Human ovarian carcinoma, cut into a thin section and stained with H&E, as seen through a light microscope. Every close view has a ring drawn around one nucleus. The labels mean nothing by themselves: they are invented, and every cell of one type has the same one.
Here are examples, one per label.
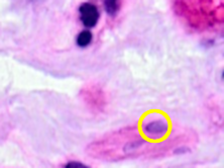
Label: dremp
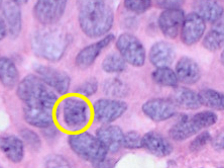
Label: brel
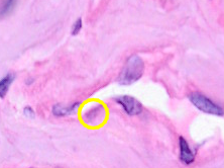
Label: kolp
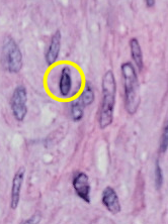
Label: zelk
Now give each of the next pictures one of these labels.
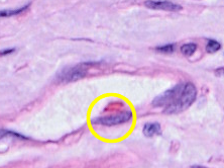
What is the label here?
kolp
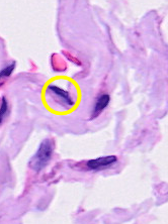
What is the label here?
kolp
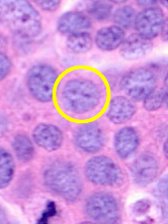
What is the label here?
brel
